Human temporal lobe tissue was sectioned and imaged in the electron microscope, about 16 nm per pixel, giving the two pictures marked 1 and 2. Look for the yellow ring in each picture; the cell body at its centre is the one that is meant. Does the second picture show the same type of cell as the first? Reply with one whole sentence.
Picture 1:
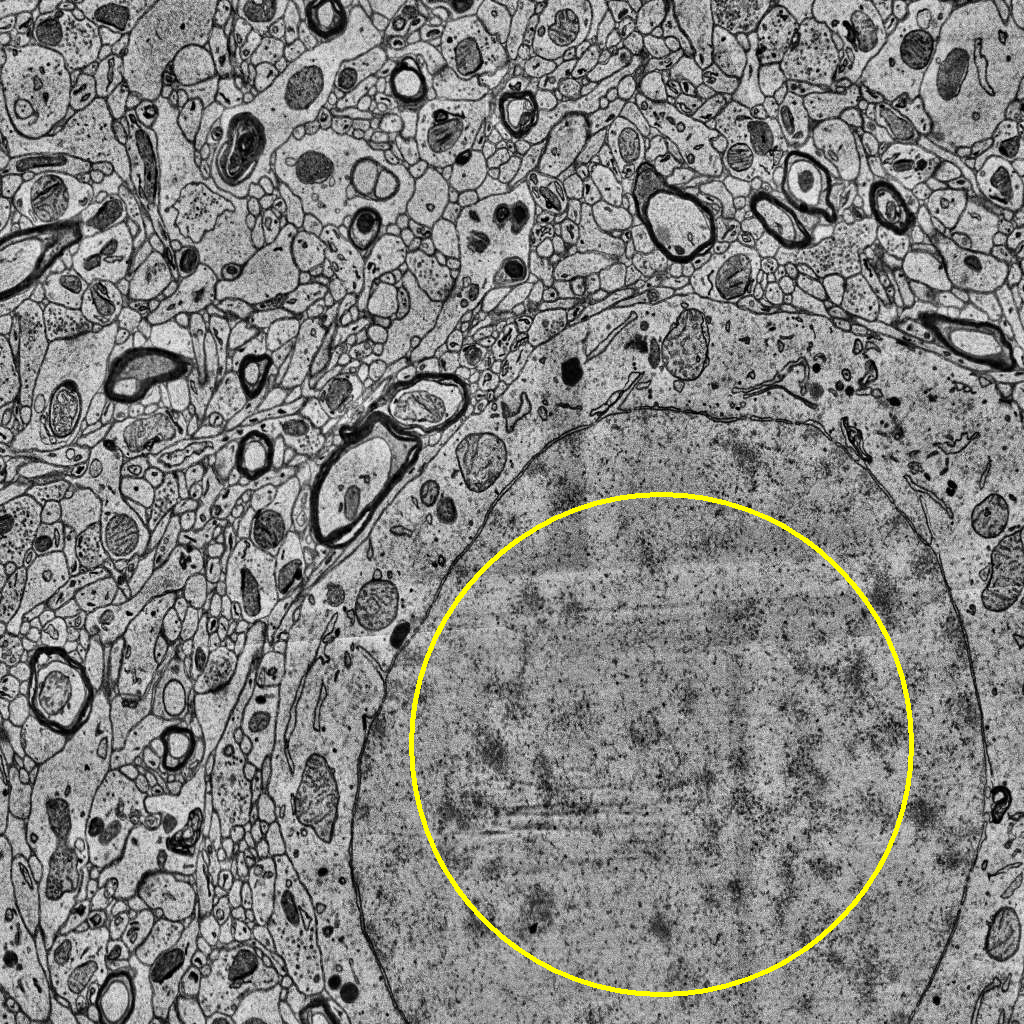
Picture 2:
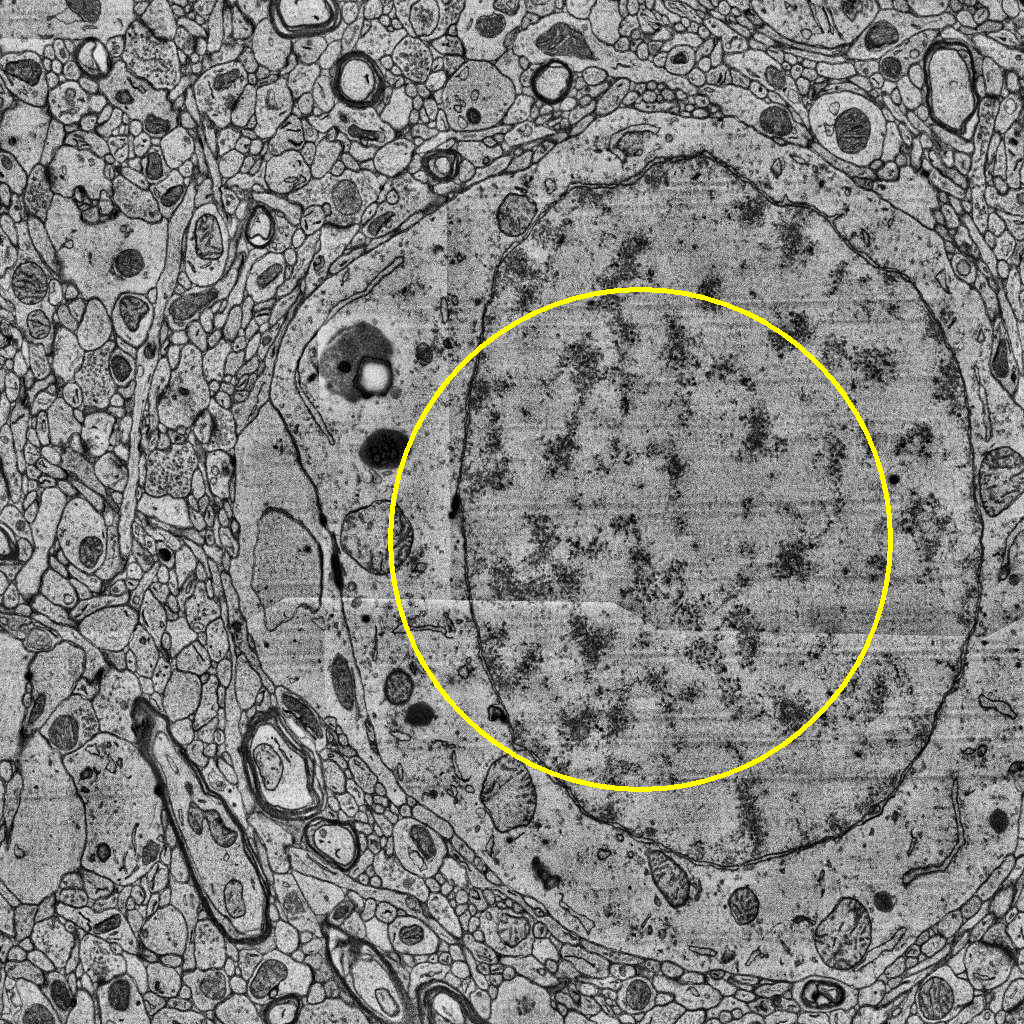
Yes; the cells in both pictures are pyramidal neurons.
